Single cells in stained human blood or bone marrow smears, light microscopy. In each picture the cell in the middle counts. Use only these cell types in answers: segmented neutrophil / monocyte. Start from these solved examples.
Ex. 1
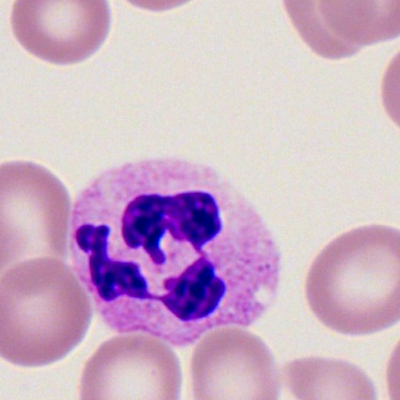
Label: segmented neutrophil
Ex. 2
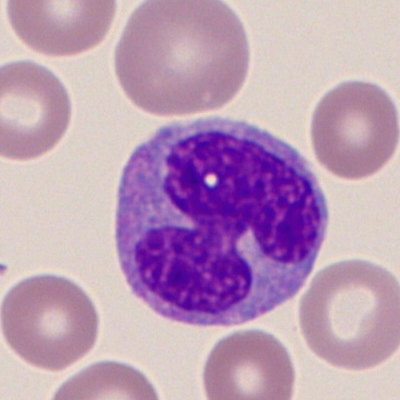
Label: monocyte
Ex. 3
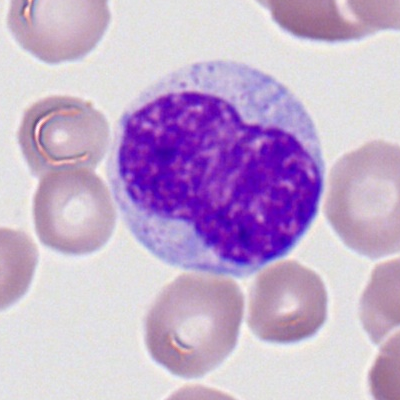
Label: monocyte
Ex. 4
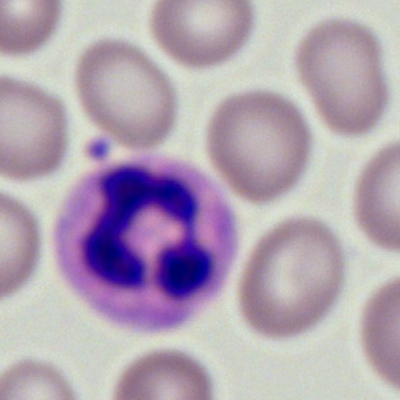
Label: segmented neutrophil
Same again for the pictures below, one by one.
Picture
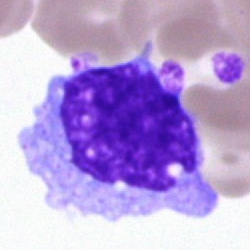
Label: monocyte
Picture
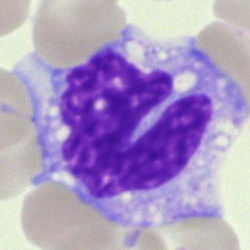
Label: monocyte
